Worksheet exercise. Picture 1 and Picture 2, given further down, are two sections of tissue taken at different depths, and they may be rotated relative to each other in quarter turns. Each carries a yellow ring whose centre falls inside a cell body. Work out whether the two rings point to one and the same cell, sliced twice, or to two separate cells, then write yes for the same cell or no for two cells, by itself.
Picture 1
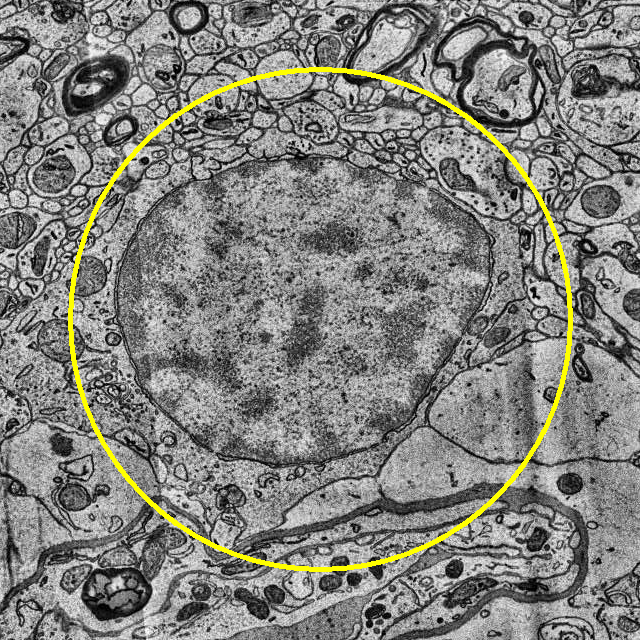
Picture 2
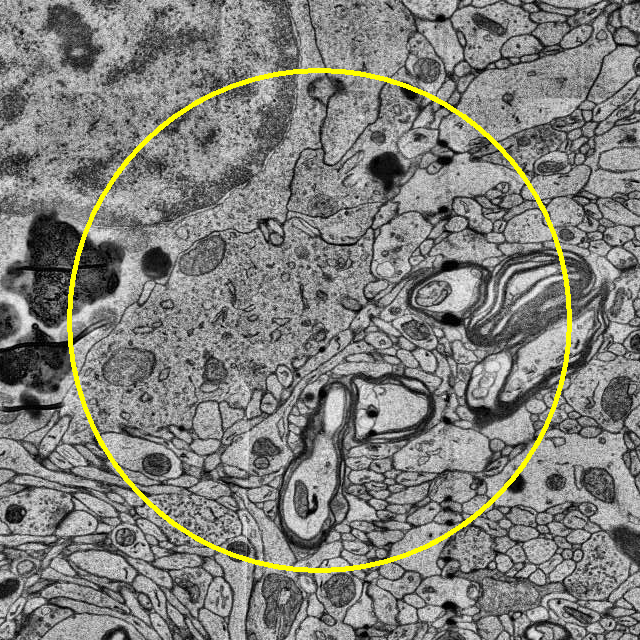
no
